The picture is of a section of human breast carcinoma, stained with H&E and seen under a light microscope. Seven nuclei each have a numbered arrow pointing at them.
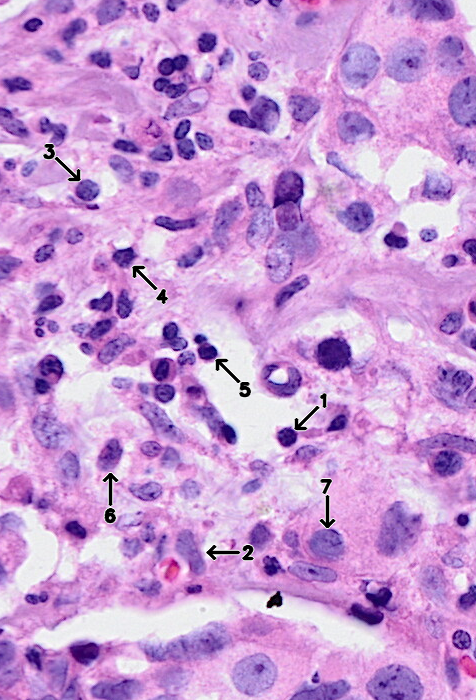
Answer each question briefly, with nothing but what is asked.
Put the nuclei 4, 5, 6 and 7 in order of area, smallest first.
5, 4, 6, 7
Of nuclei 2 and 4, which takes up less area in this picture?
4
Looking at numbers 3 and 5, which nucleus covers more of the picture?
3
